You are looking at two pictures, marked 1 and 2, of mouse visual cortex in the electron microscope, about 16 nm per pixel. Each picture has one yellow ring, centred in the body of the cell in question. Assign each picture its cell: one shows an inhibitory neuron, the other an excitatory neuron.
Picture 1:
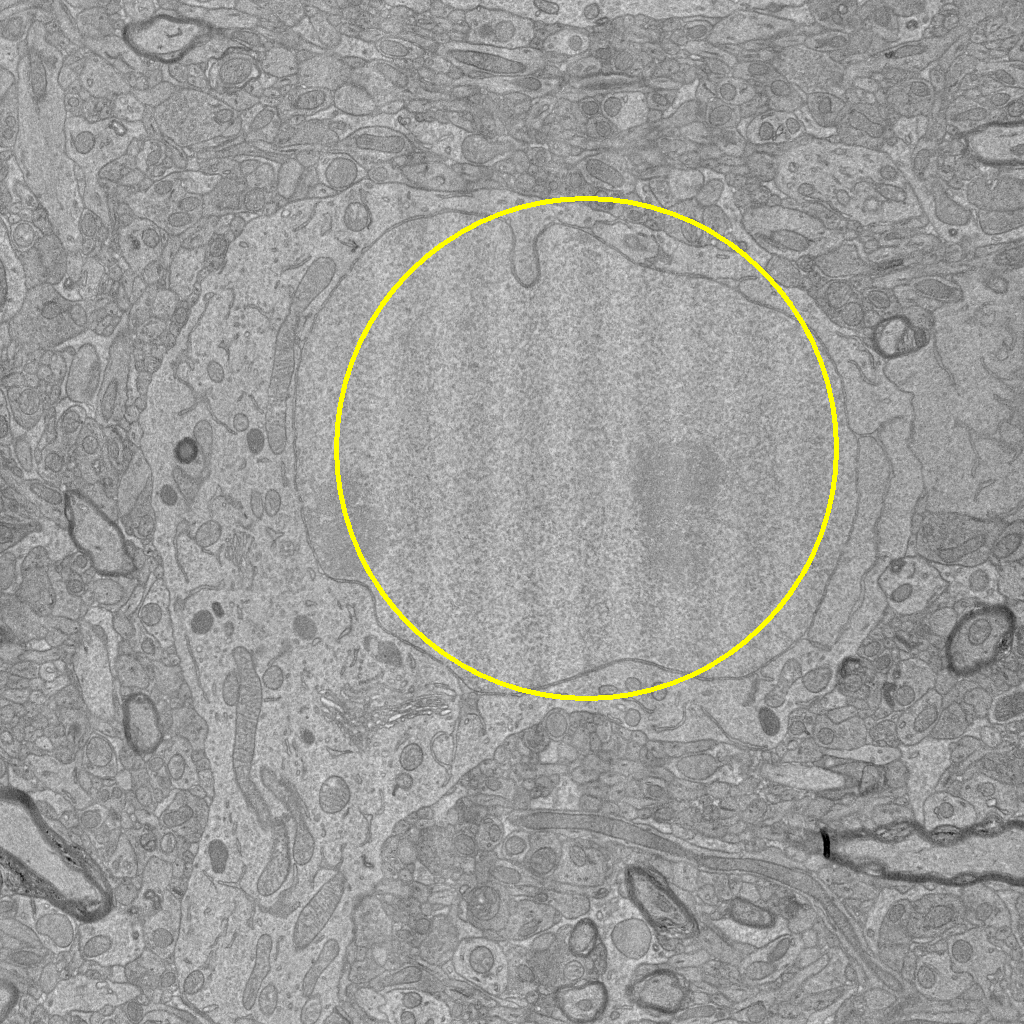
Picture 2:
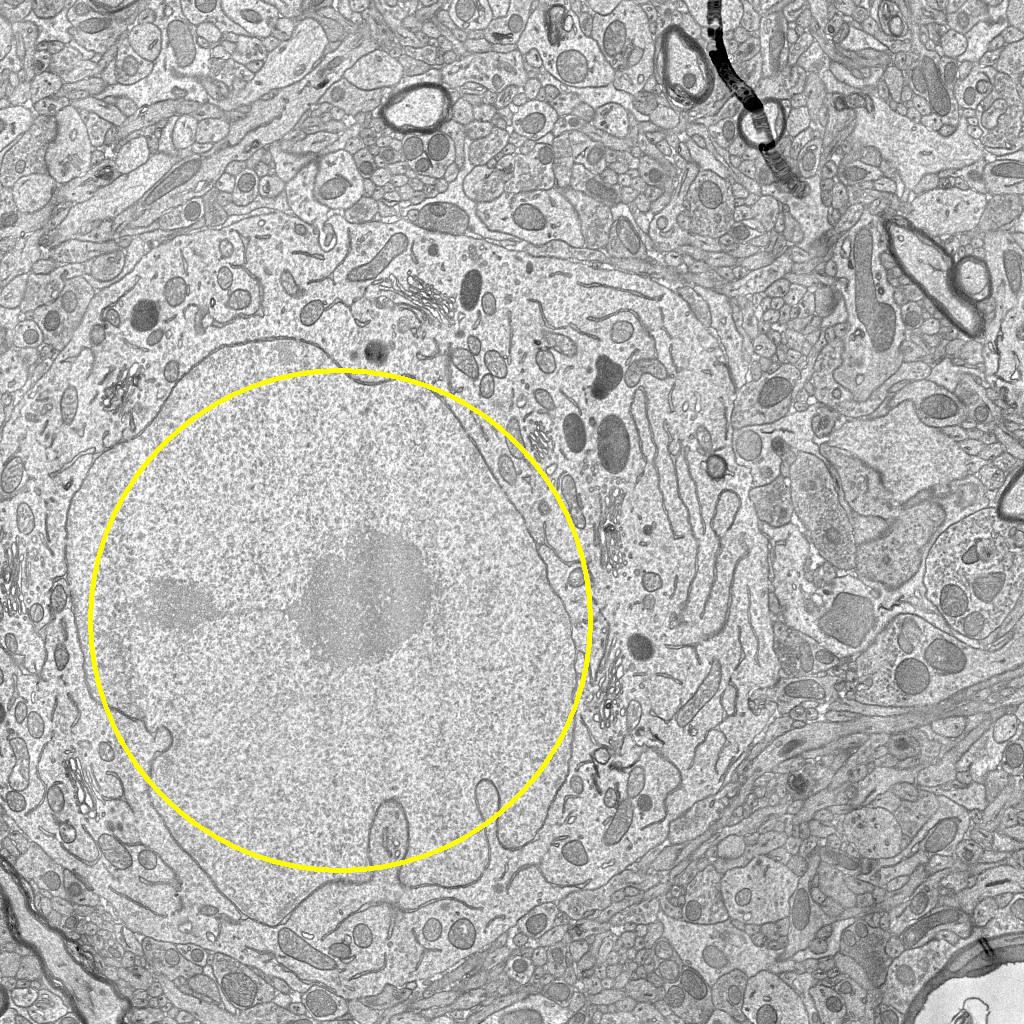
Picture 2 shows an inhibitory neuron, while picture 1 shows an excitatory neuron.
